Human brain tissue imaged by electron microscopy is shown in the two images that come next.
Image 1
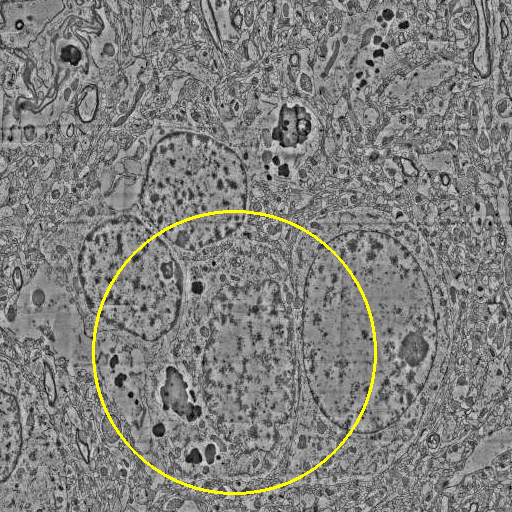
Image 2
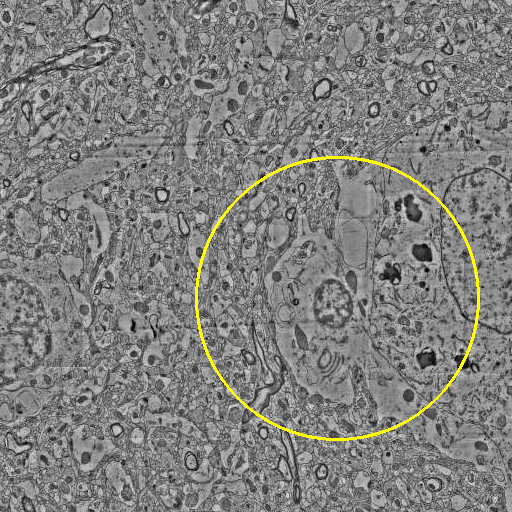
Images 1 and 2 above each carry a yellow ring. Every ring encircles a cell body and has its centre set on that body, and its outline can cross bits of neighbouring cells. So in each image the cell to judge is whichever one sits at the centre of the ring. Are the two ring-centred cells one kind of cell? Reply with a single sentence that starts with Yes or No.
No, in Image 1 and Image 2 the cells at the centres of their rings fall into two types.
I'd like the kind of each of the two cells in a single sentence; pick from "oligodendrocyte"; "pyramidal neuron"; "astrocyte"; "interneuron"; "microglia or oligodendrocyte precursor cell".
The first ring marks an interneuron, and the second ring marks an astrocyte.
